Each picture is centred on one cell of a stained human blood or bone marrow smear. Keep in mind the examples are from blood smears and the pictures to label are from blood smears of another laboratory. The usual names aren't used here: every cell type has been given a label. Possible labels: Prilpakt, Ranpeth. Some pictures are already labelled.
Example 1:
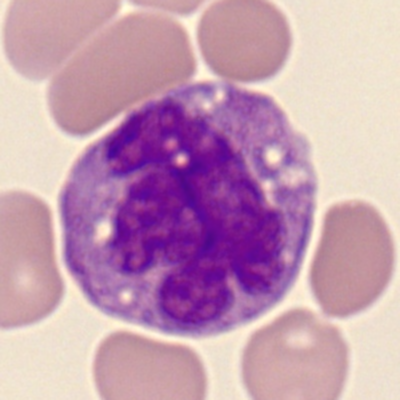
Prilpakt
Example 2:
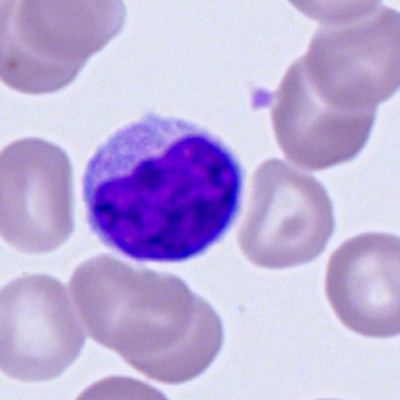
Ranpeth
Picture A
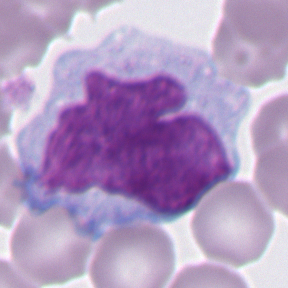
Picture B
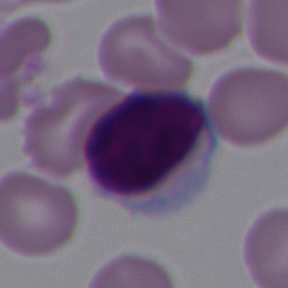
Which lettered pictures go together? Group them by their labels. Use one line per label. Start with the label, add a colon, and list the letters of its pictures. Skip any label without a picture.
Prilpakt: A
Ranpeth: B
